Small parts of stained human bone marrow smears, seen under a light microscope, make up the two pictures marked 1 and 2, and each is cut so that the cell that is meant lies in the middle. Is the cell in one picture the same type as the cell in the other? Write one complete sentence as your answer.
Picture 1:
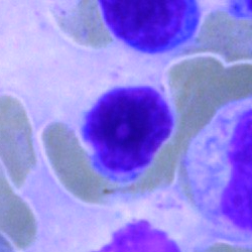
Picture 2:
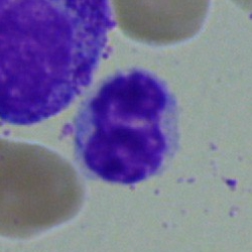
No; the cell in picture 1 is a lymphocyte, while the one in picture 2 is a monocyte.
